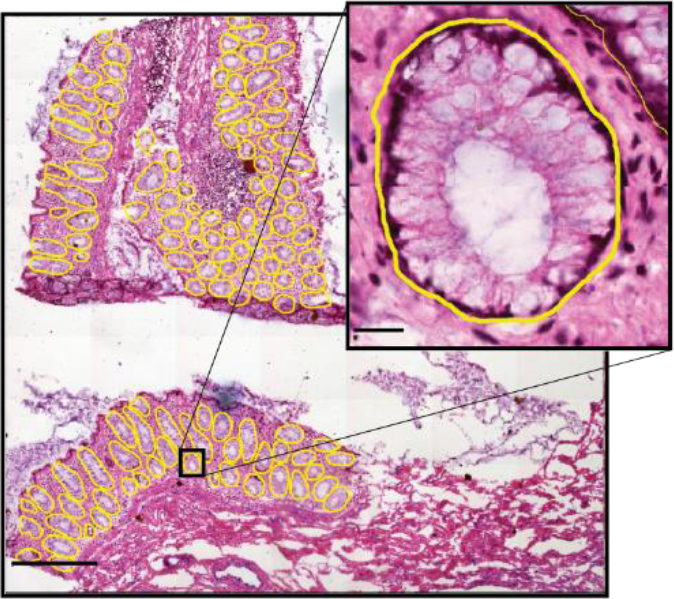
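This is a section of colon mucosa, and the enlarged view shows a single crypt cut across: a ring of tall epithelial cells with dark nuclei pushed to the outer edge and pale, bubbly cytoplasm, around a central lumen holding pale material. Outside the ring lies connective tissue with scattered spindle-shaped nuclei. At low power, crypts are packed side by side in rows in the mucosa.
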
